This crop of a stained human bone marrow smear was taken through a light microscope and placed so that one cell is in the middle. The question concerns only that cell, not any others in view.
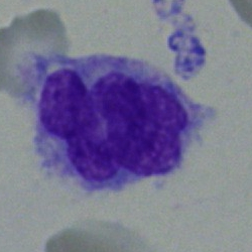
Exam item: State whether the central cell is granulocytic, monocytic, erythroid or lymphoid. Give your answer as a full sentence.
From the monocytic lineage comes the cell in the middle of the crop.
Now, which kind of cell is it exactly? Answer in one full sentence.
Located at the centre of the crop is a monocyte.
